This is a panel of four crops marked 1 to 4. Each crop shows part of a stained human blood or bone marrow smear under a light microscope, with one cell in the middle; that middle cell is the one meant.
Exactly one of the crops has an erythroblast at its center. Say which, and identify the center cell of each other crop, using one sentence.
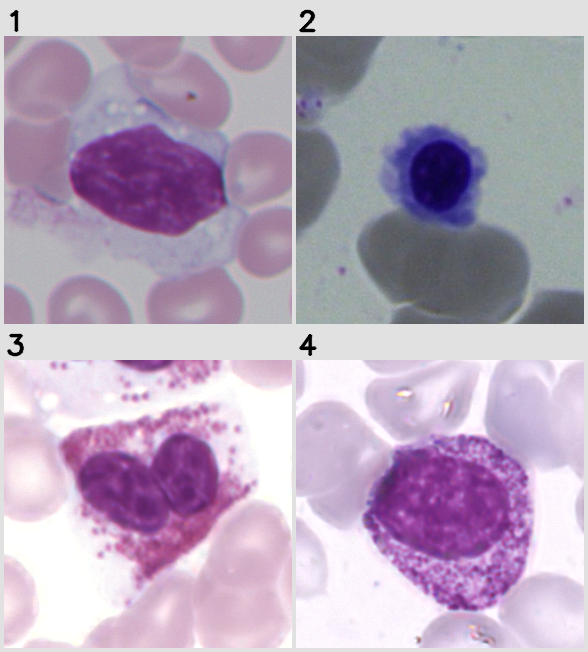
In crop 2 the cell is an erythroblast, whereas crop 1 is a lymphocyte, crop 3 is an eosinophil and crop 4 is a myelocyte.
